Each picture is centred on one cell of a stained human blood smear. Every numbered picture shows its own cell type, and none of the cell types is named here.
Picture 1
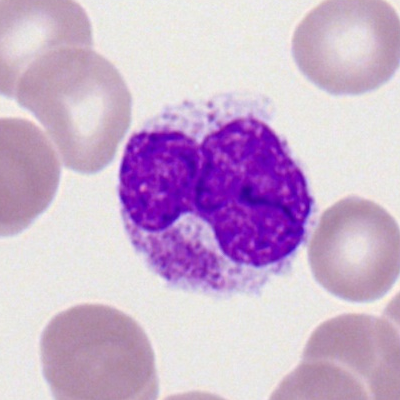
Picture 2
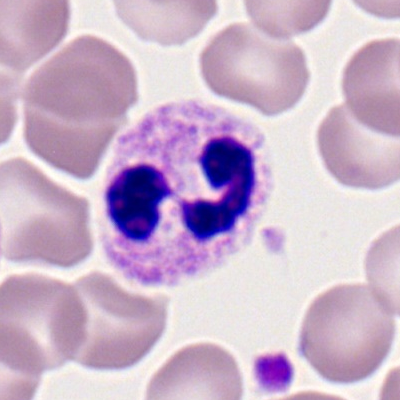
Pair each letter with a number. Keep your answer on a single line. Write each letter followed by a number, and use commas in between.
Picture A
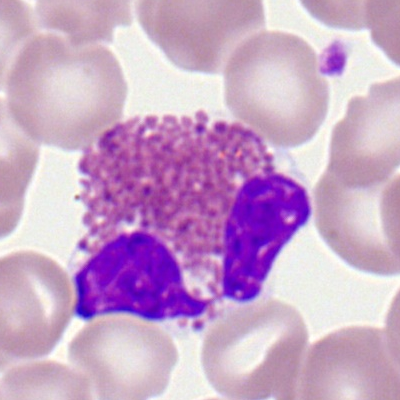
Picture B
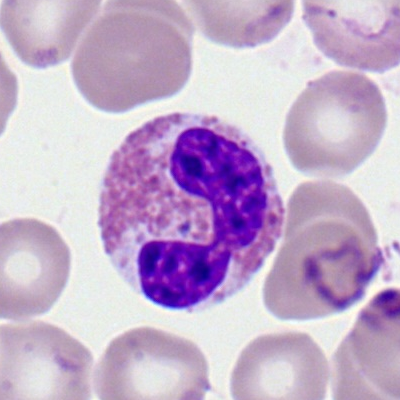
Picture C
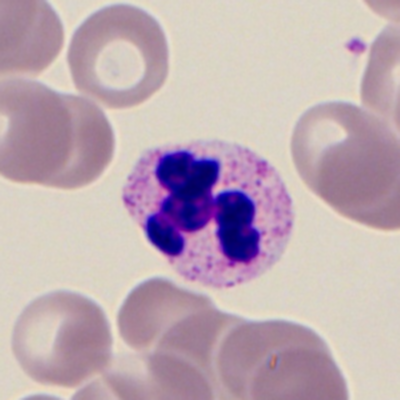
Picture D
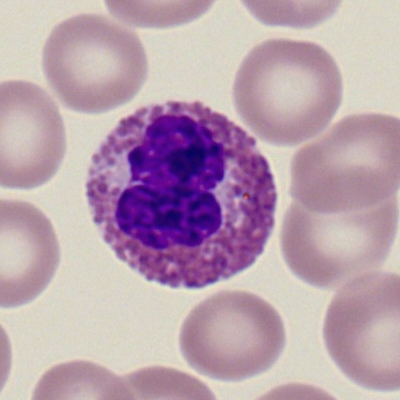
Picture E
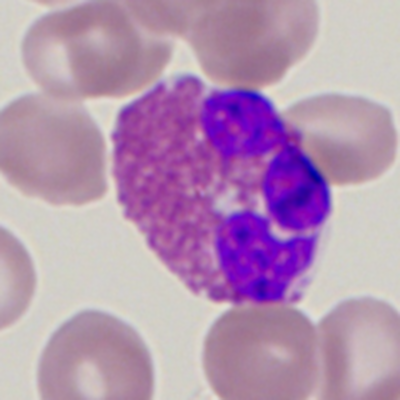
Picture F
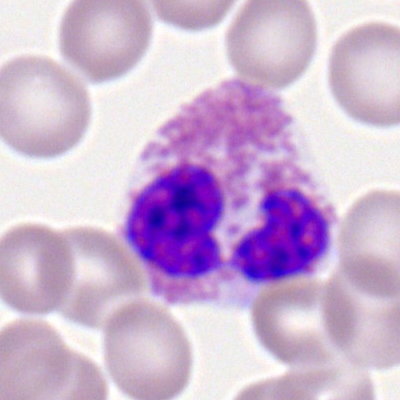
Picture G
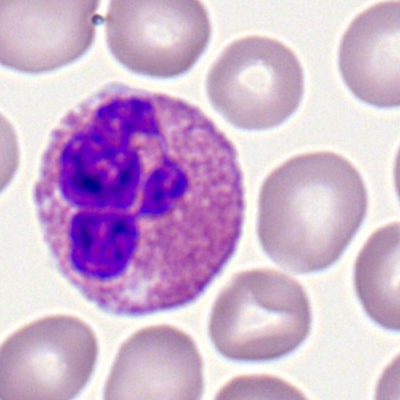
A 1, B 1, C 2, D 1, E 1, F 1, G 1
